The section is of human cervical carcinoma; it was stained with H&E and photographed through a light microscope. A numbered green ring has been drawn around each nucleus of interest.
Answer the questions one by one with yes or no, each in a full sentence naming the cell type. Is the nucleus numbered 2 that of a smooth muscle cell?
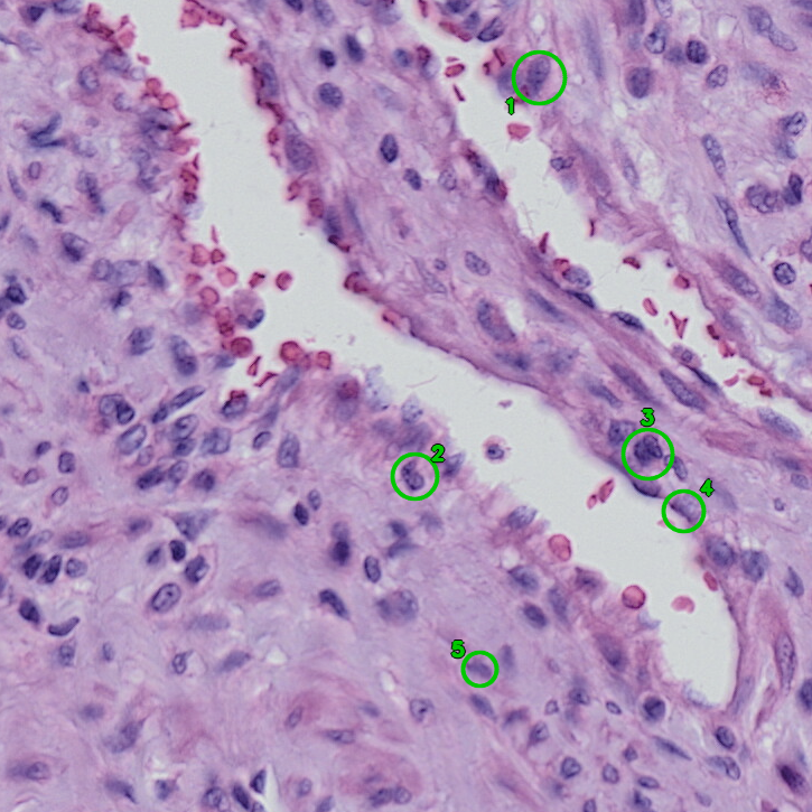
No, the cell tagged 2 is a lymphocyte, not a smooth muscle cell.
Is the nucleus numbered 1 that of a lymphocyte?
No. Cell number 1 is an endothelial cell, not a lymphocyte.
